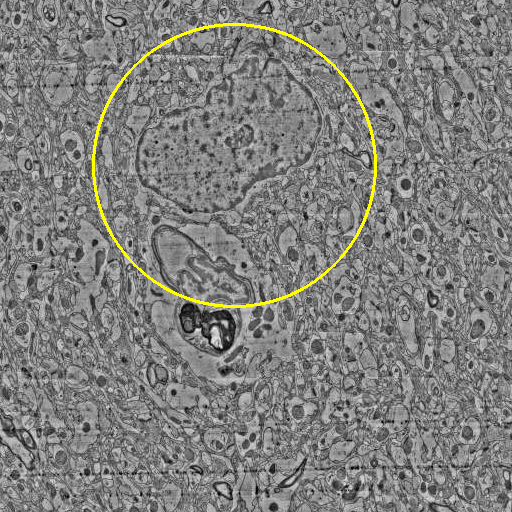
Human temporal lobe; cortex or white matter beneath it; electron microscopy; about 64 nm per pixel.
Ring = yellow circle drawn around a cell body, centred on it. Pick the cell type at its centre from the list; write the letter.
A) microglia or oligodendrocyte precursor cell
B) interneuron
A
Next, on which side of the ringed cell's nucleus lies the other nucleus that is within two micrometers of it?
The other nucleus lies to the left of it in the picture.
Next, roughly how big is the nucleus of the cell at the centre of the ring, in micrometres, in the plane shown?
About 7 micrometres across, as seen in this plane.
